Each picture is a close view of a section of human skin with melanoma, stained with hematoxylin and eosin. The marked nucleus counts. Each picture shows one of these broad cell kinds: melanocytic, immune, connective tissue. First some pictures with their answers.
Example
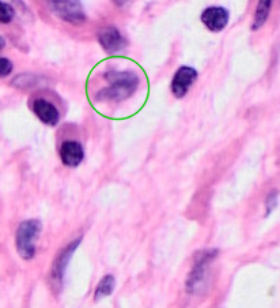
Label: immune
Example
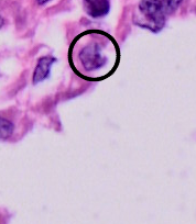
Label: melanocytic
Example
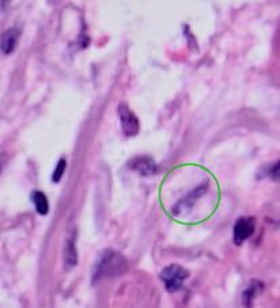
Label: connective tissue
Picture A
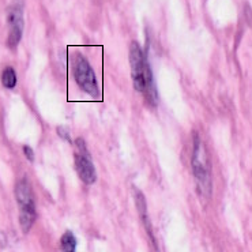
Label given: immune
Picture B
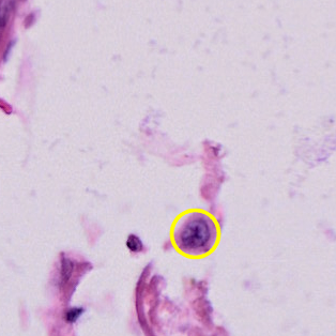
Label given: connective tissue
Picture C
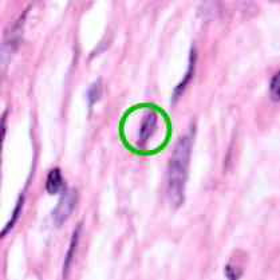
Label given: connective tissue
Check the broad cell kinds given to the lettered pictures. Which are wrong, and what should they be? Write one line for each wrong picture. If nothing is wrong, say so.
B is labelled connective tissue; correct label: melanocytic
